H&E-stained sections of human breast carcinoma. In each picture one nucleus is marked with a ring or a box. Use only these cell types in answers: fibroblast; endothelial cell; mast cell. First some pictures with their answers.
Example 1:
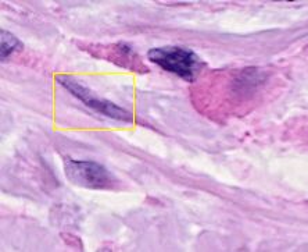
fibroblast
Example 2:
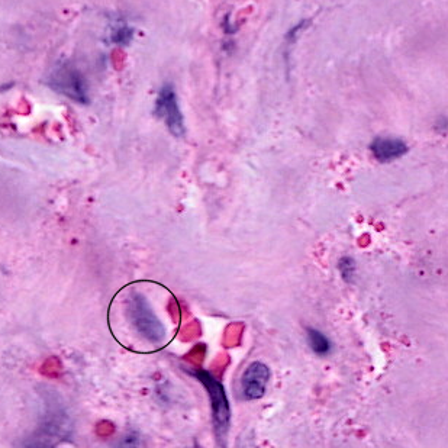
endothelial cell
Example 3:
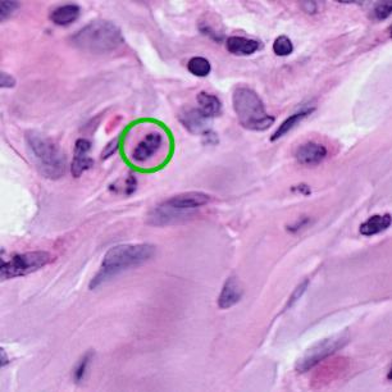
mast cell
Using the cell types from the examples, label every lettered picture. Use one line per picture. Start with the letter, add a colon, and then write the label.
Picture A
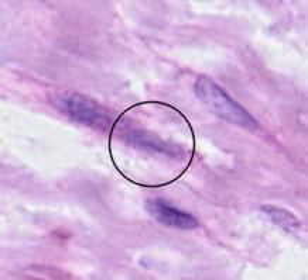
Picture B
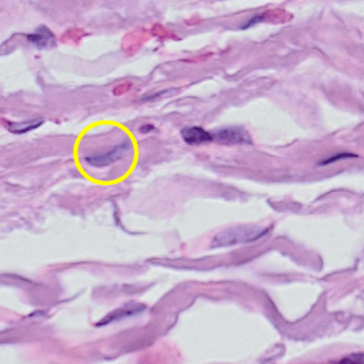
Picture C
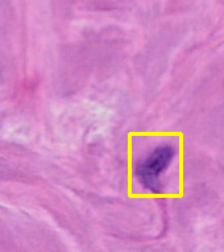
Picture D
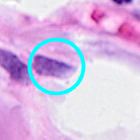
A: fibroblast
B: fibroblast
C: fibroblast
D: fibroblast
